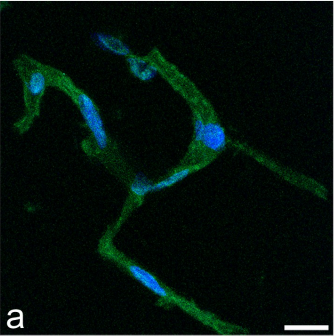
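Here is a small network of thin capillary tubes, their walls outlined in green, branching and joining into a loose mesh. Oval to elongated blue nuclei sit within the walls, flattened along the length of each tube, with a bulge where a nucleus lies.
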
